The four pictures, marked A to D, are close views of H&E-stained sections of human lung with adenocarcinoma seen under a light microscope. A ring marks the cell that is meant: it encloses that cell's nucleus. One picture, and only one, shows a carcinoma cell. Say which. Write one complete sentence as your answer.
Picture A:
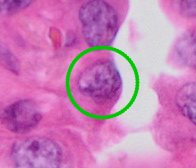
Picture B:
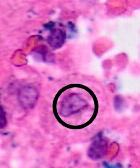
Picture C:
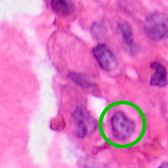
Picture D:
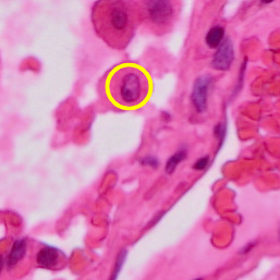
The cell in picture A is the carcinoma cell.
